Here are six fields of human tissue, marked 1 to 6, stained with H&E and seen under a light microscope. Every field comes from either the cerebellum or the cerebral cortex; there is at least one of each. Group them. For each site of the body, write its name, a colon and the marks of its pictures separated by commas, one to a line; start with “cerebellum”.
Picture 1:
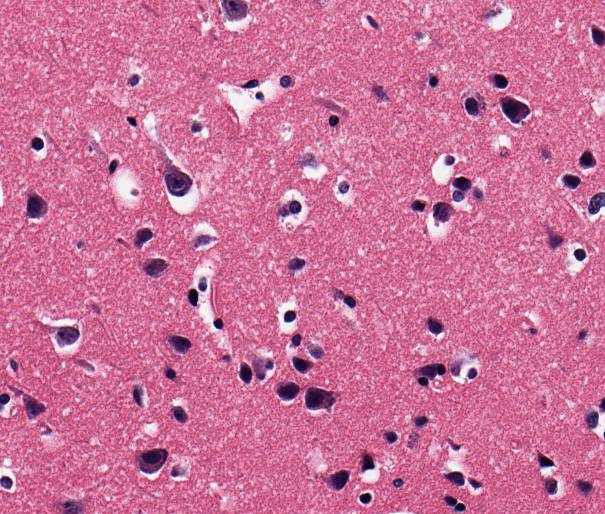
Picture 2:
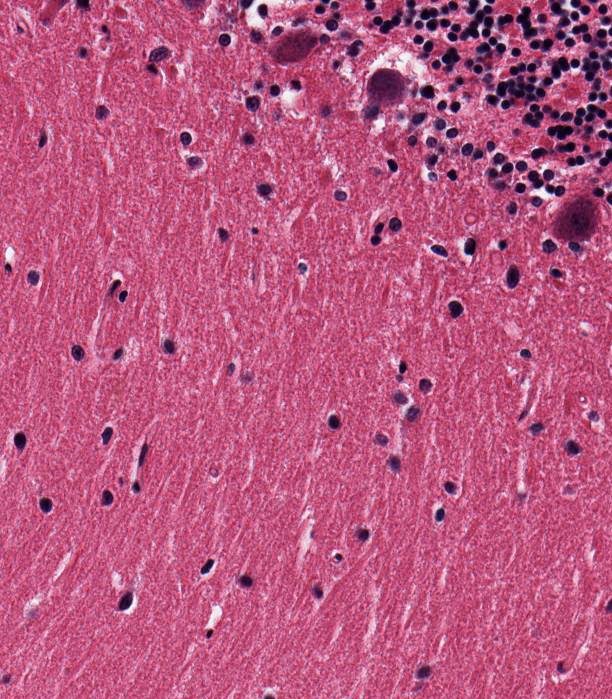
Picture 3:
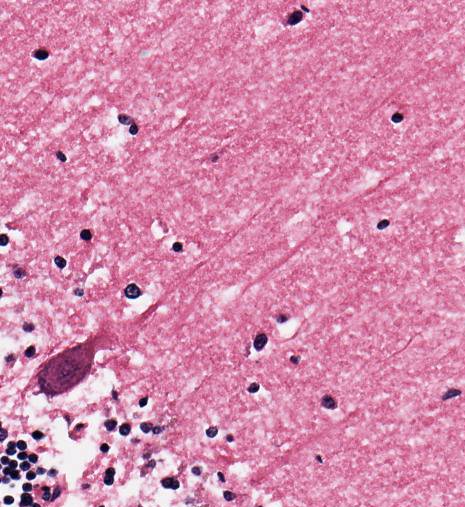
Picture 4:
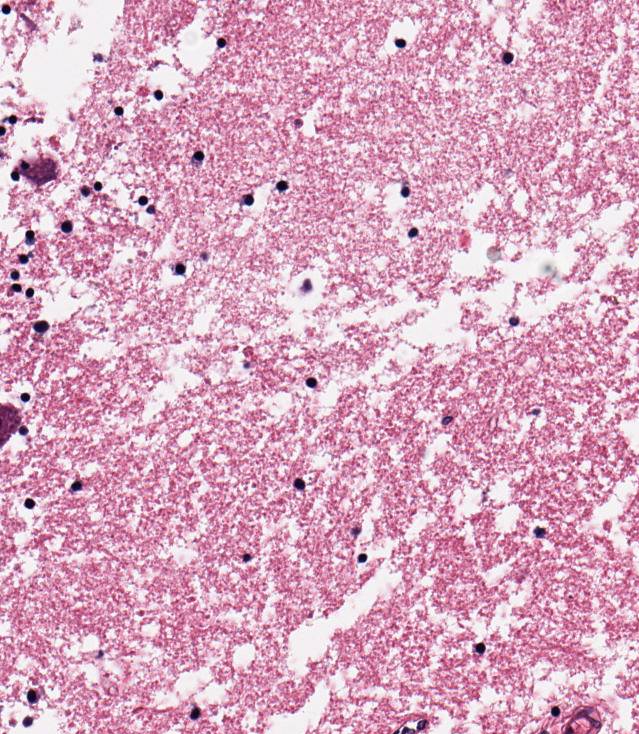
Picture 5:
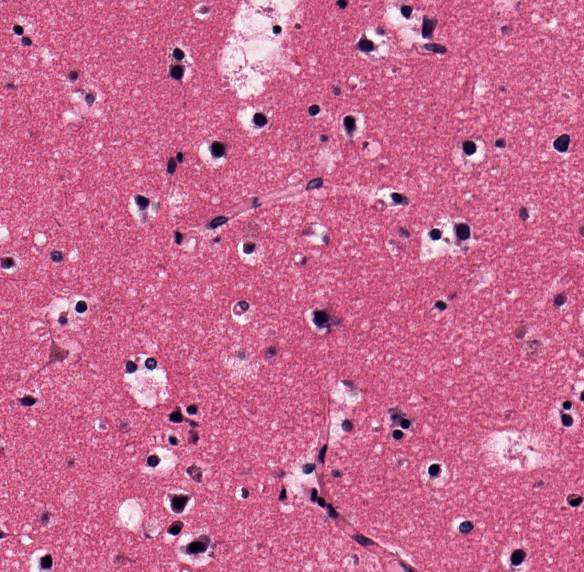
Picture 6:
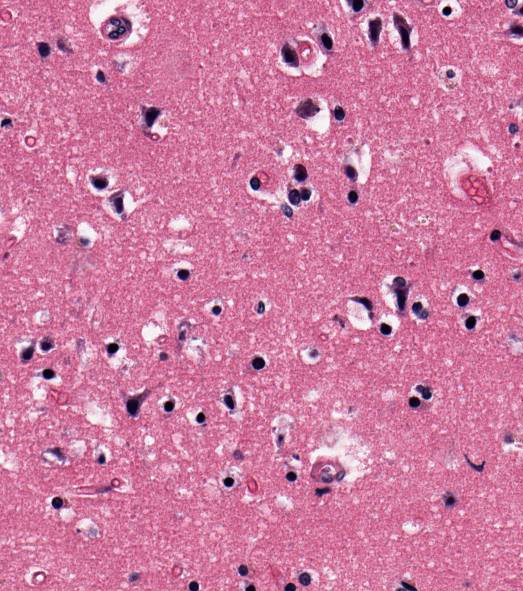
cerebellum: 2, 3, 4
cerebral cortex: 1, 5, 6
